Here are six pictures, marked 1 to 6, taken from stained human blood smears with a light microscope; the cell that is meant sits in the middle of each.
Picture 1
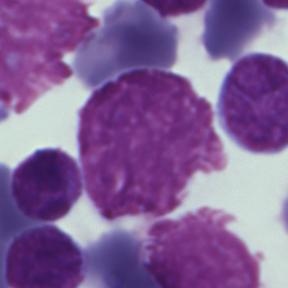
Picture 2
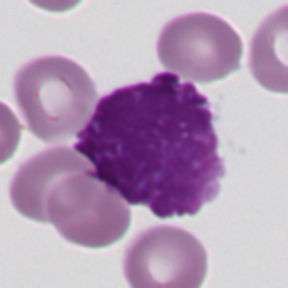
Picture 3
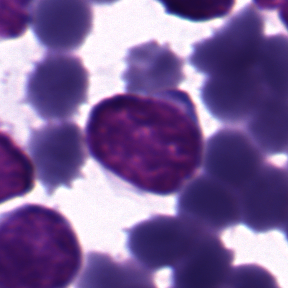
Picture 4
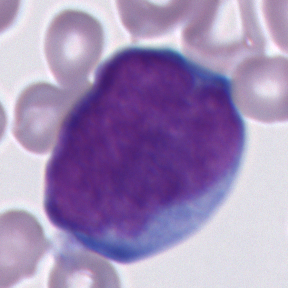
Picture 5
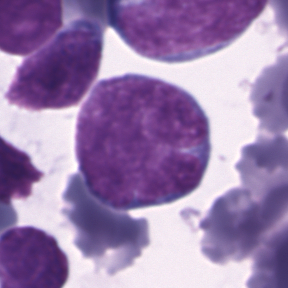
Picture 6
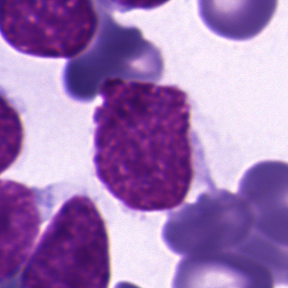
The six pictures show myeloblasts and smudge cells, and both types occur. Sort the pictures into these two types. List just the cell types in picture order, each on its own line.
smudge cell
smudge cell
myeloblast
myeloblast
myeloblast
myeloblast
